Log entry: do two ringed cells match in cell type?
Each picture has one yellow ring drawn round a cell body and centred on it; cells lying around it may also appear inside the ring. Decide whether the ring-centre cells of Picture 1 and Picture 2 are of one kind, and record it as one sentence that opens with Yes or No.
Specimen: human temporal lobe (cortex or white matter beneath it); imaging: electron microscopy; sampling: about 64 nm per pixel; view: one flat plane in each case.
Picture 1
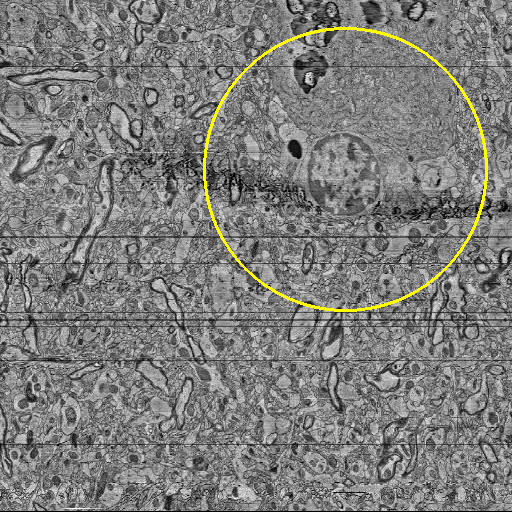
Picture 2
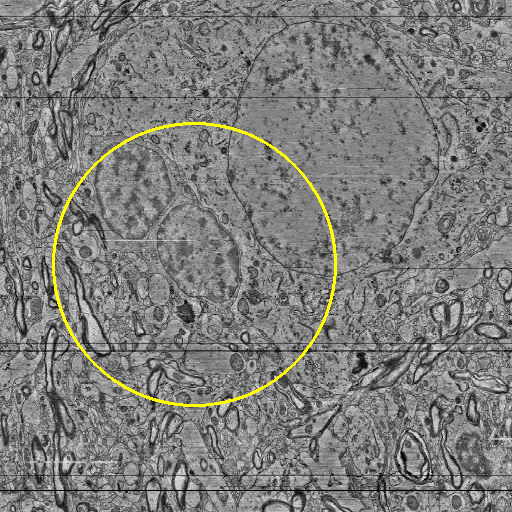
Yes, the cells at the ring centres of the two pictures belong to one kind.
